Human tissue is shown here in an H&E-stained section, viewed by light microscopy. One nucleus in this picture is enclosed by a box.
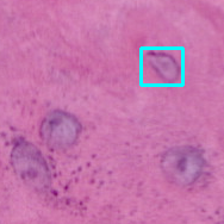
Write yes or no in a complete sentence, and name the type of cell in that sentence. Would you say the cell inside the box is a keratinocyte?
Yes, the cell inside the box in this field is a keratinocyte.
